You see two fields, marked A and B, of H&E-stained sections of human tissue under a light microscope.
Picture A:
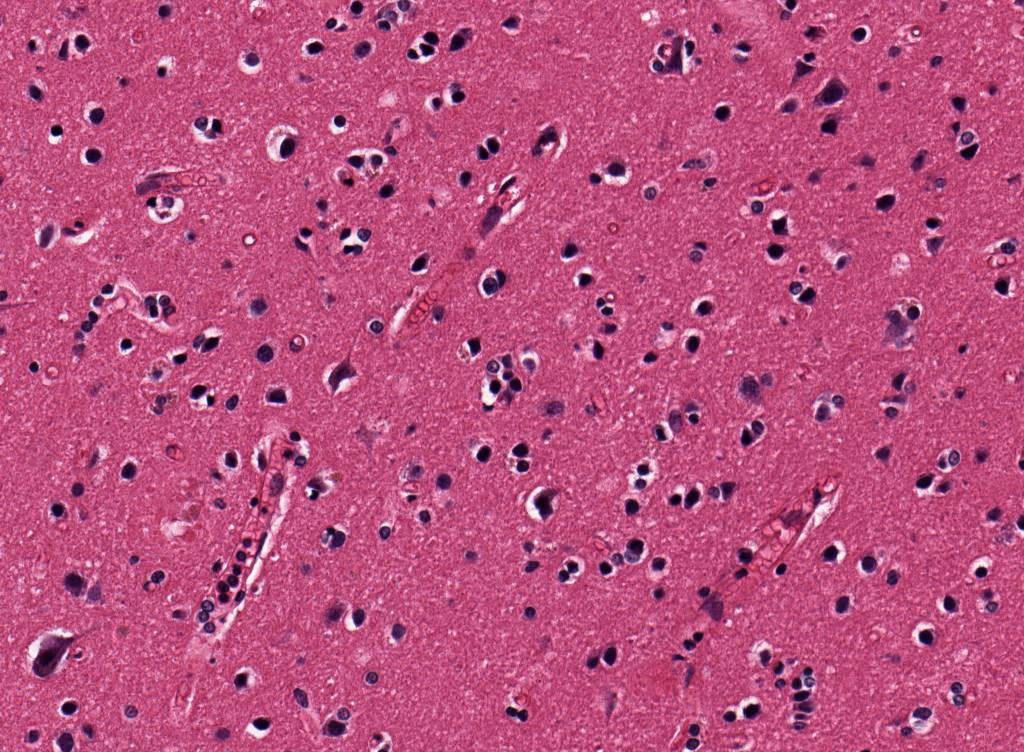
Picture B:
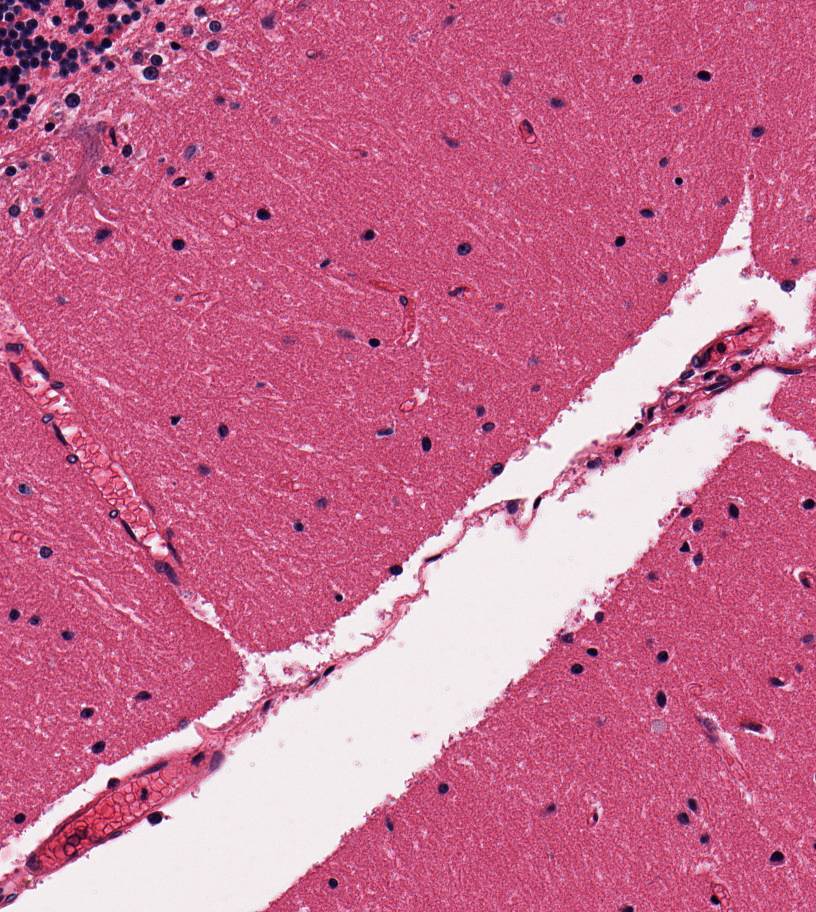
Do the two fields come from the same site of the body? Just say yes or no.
no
